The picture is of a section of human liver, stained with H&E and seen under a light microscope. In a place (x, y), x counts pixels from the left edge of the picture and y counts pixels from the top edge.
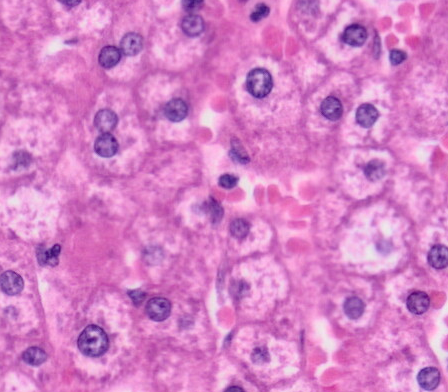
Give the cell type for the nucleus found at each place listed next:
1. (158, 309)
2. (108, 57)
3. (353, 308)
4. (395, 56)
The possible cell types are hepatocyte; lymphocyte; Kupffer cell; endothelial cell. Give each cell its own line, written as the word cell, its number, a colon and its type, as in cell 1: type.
cell 1: hepatocyte
cell 2: hepatocyte
cell 3: hepatocyte
cell 4: lymphocyte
